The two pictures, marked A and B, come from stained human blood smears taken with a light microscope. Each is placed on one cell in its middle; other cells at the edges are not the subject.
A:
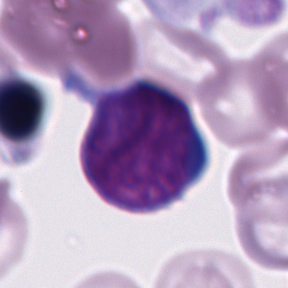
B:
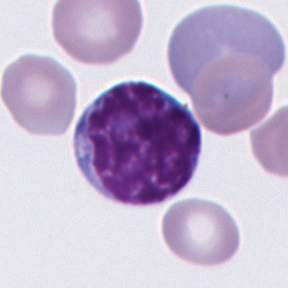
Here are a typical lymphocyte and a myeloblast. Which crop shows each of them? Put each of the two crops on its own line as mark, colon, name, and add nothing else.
A: myeloblast
B: typical lymphocyte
